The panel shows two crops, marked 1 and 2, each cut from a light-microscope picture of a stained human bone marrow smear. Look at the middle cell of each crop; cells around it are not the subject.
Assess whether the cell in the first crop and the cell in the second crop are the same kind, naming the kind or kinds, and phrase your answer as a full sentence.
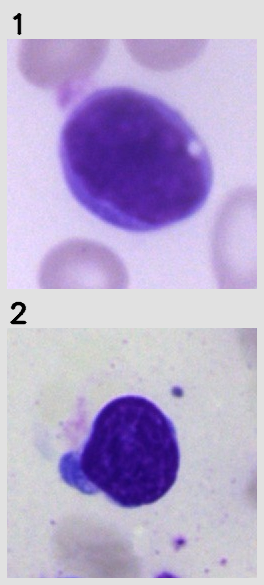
No, crop 1 shows a blast, whereas a lymphocyte is what crop 2 shows.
